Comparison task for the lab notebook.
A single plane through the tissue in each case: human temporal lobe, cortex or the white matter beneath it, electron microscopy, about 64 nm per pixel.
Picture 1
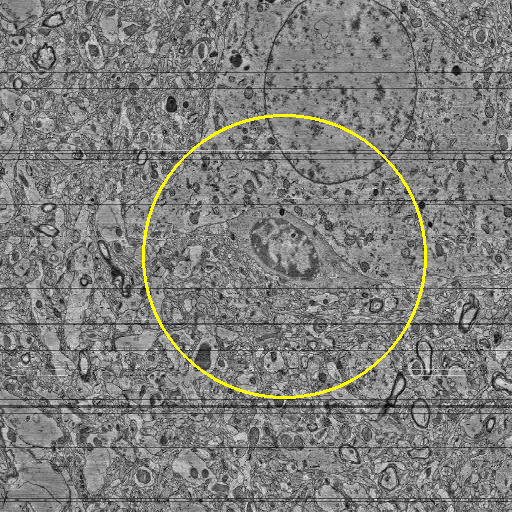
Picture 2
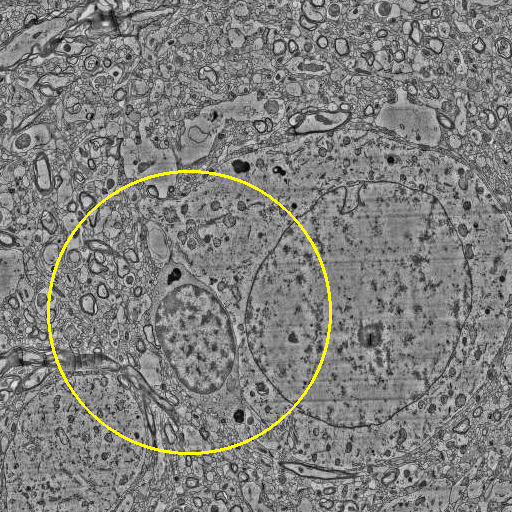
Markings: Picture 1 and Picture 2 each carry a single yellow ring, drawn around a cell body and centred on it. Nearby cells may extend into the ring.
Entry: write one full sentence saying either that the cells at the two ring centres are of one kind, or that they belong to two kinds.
The cells sitting at the ring centres in Picture 1 and Picture 2 are of one kind.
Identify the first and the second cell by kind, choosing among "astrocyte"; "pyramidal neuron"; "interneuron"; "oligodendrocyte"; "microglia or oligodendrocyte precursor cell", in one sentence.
In both pictures the ring is centred on an oligodendrocyte.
